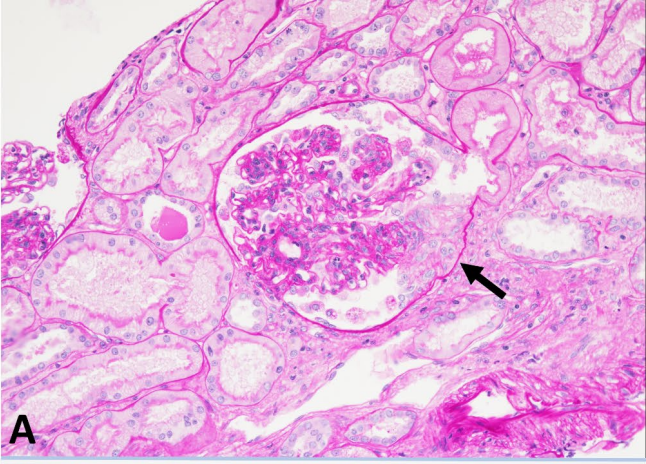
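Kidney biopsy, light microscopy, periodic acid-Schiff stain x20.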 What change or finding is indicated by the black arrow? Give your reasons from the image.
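The arrow points at the rim of Bowman's space beside the glomerular tuft.
Conclusion: cellular crescent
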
